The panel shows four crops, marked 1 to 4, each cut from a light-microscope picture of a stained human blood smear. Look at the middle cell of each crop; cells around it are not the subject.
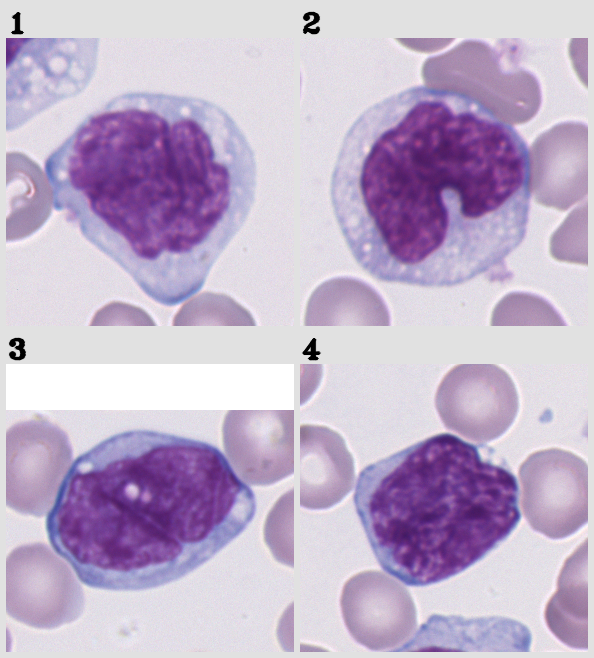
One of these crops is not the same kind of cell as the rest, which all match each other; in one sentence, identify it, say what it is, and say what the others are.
The outlier here is crop 2, which is a monocyte, while the remainder show myeloblasts.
